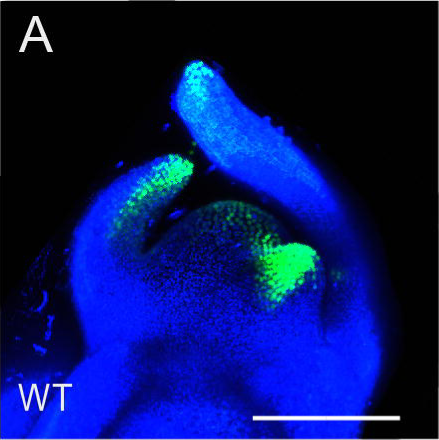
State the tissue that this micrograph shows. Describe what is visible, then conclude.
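Apical meristems. A central dome of small cells at the shoot tip. Curved young leaf primordia arising around the dome.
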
